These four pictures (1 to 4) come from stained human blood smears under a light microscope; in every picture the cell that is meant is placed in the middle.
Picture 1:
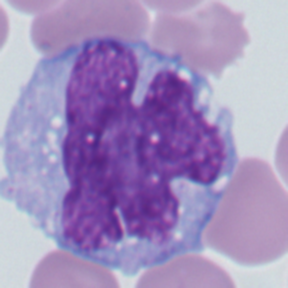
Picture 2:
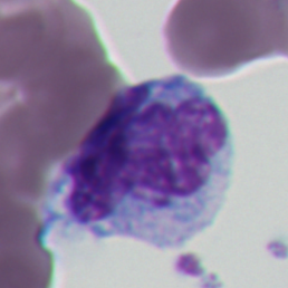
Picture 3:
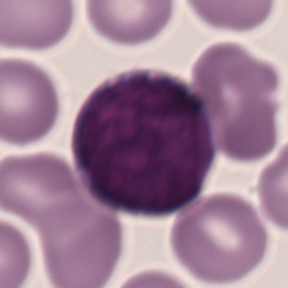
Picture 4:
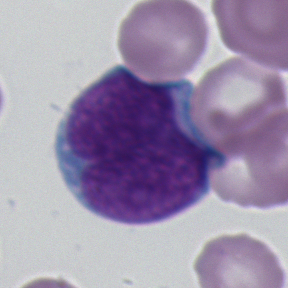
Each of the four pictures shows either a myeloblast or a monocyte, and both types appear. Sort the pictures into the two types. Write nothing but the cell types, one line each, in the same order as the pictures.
monocyte
monocyte
myeloblast
myeloblast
